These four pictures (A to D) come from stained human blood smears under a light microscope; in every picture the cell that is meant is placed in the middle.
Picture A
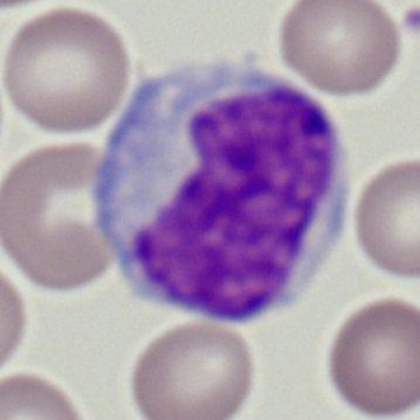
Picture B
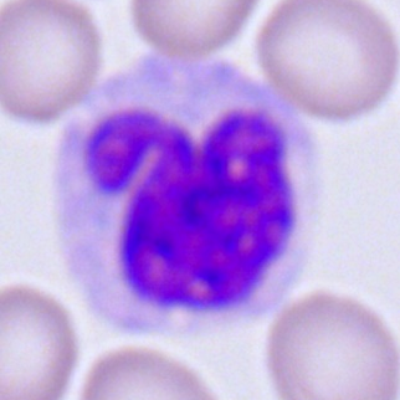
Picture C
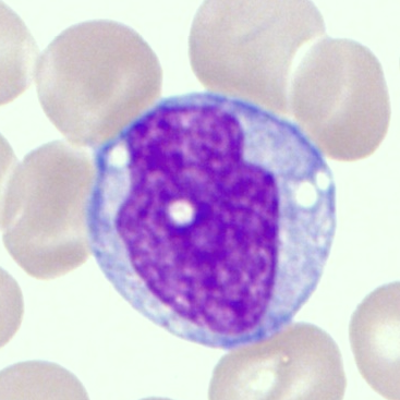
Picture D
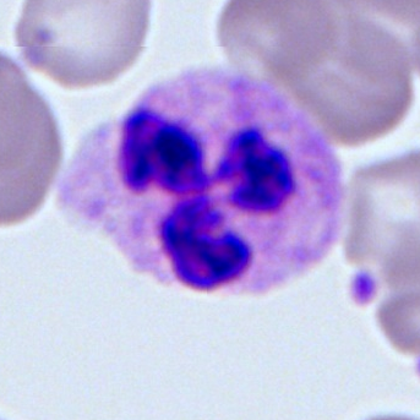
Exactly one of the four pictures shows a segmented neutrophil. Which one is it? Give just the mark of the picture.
D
